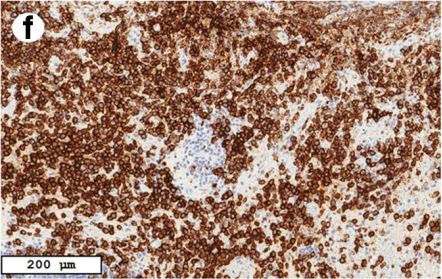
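The brown cells lie in dense, confluent sheets covering most of the field. Each stained cell is round, with the brown stain outlining its membrane around a bluish nucleus. Between the sheets, small patches of pale stroma contain unstained cells with blue nuclei.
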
